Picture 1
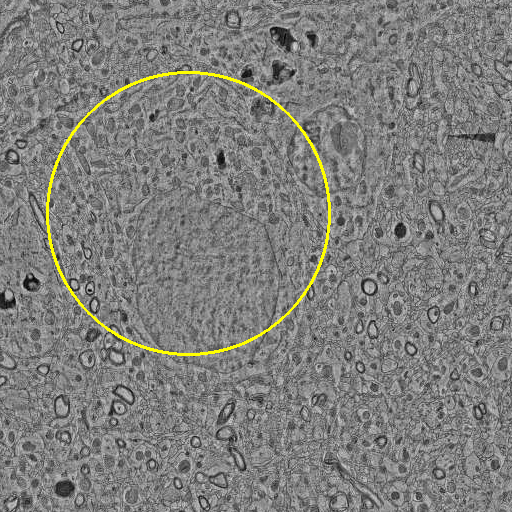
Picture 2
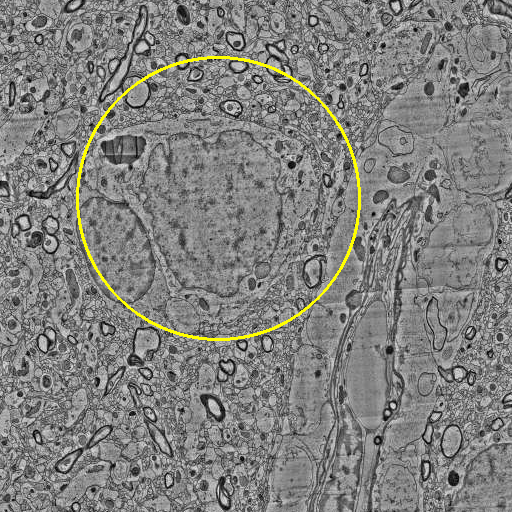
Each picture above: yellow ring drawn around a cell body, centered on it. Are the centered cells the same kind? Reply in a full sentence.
Yes, the two cells are the same kind.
